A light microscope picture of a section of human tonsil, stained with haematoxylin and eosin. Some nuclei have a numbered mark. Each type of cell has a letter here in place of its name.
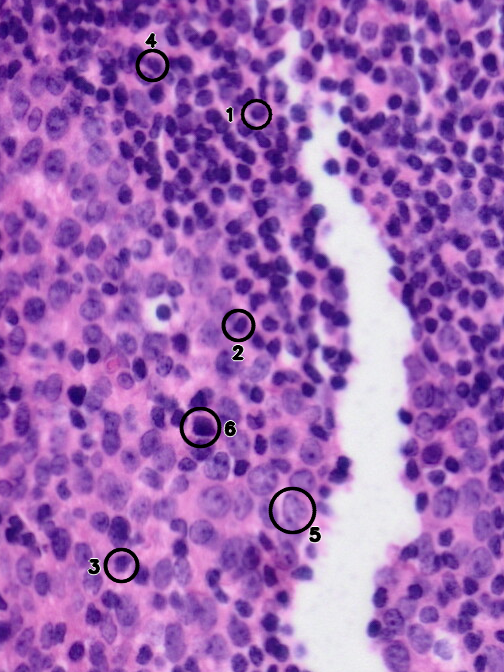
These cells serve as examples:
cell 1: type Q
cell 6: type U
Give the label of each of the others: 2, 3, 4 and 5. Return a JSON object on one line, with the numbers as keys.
{"2": "type U", "3": "type U", "4": "type Q", "5": "type U"}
